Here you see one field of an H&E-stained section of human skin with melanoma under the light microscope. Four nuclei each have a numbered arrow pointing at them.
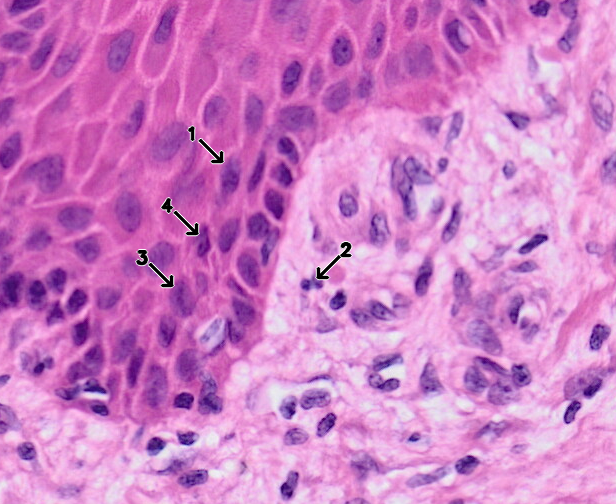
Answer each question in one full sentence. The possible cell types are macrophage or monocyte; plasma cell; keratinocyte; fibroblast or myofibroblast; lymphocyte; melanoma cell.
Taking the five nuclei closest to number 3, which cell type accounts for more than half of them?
The majority of the five nuclei closest to number 3 belong to keratinocytes.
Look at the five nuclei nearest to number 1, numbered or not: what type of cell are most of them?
Keratinocytes make up most of the five nuclei closest to number 1.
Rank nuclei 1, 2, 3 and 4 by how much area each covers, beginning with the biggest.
Largest first, the order by area is 3, 1, 4, 2.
